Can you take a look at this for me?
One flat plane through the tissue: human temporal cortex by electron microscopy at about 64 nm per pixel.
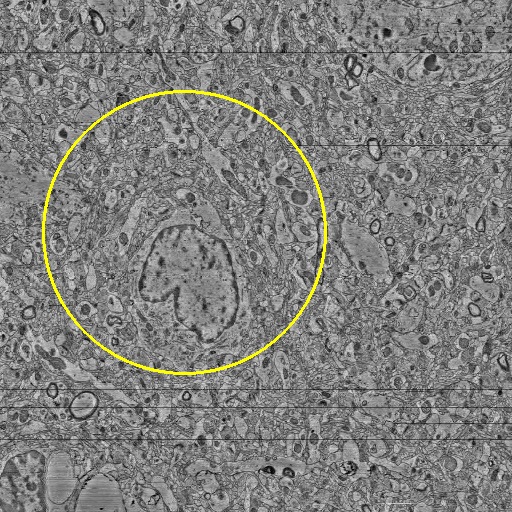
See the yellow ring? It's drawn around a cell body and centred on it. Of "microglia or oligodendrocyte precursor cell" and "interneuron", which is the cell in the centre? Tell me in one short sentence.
The one in the centre is a microglial cell or oligodendrocyte precursor cell.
